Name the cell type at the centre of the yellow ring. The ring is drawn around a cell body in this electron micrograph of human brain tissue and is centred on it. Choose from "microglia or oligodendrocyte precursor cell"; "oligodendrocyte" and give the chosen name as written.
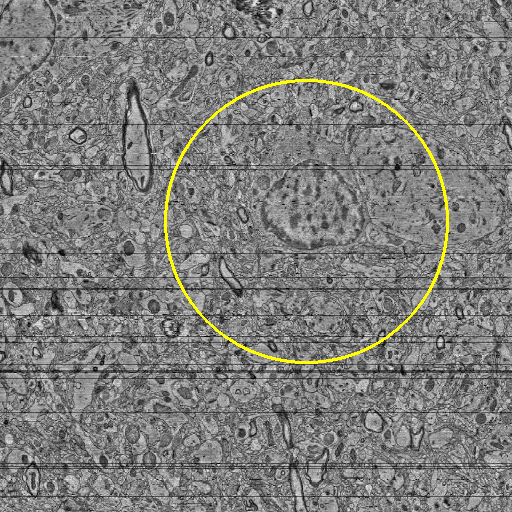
oligodendrocyte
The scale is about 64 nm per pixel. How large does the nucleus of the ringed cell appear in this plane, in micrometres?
In this plane the nucleus is about 6 micrometres across.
